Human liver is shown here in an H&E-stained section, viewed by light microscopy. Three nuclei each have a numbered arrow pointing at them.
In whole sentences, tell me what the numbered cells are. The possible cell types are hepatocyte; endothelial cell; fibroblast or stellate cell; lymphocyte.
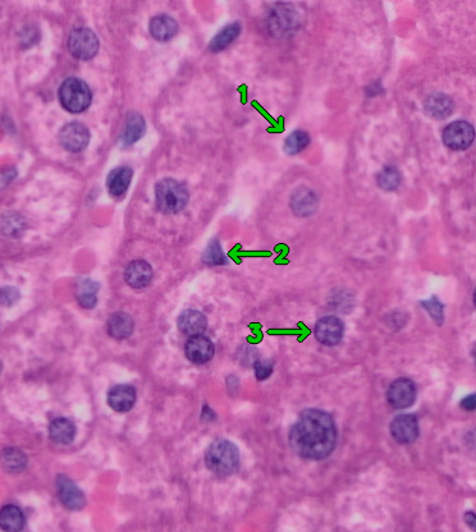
Cell 1 is a lymphocyte, cell 2 is an endothelial cell and cell 3 is a hepatocyte.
